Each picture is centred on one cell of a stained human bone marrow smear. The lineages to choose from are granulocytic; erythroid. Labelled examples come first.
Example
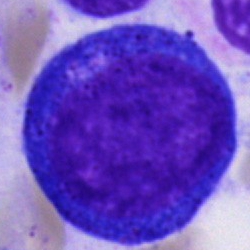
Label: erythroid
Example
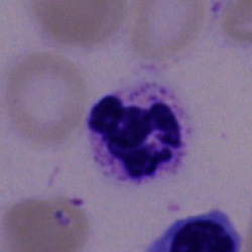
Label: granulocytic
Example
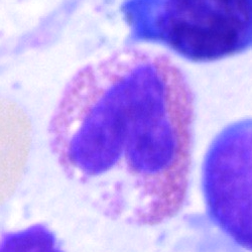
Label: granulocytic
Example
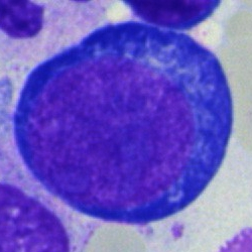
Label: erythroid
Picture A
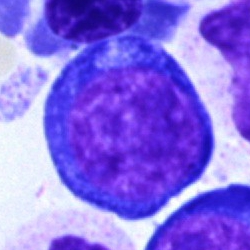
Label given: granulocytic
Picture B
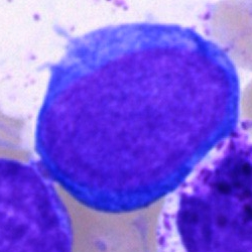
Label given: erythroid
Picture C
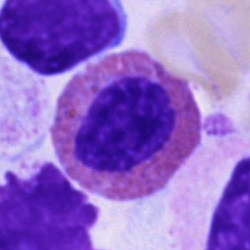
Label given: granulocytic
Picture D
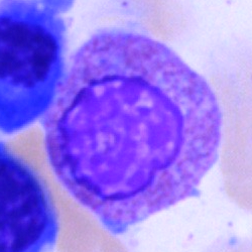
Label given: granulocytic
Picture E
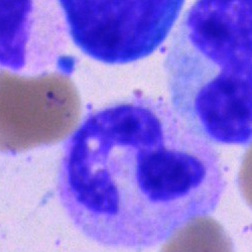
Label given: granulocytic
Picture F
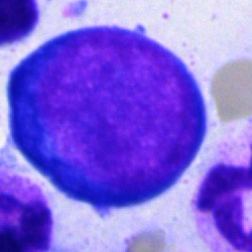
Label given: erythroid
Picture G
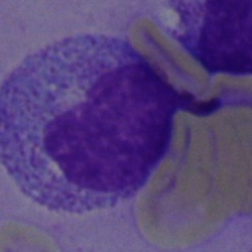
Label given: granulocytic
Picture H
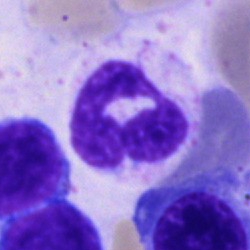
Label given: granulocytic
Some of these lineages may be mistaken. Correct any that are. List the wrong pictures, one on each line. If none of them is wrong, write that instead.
A is labelled granulocytic; correct label: erythroid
